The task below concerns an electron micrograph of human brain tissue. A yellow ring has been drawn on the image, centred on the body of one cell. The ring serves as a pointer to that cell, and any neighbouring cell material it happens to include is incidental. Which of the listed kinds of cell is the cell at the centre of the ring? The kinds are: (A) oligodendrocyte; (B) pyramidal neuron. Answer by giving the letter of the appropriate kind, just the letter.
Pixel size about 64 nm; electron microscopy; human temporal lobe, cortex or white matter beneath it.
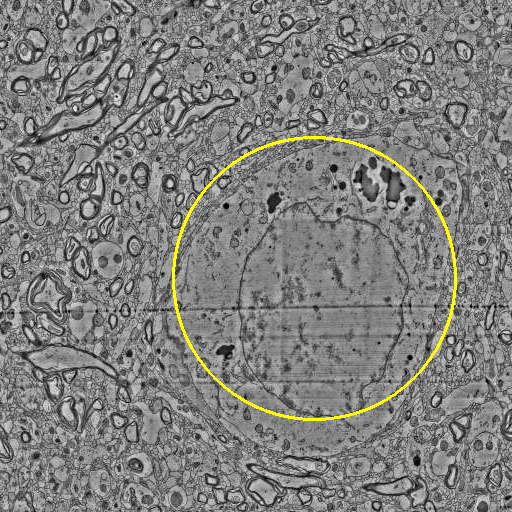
B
